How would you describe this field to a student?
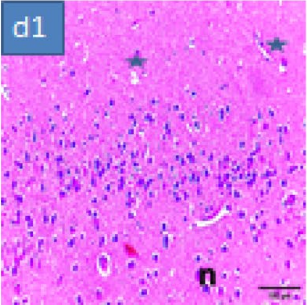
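This is cerebral cortex with a band of neurons running across the middle of the field. Above and below the band the tissue holds fewer cells and a few small vessels with clear spaces around them. The nuclei in the band are mostly of similar size and shape, without large areas of tissue loss.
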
